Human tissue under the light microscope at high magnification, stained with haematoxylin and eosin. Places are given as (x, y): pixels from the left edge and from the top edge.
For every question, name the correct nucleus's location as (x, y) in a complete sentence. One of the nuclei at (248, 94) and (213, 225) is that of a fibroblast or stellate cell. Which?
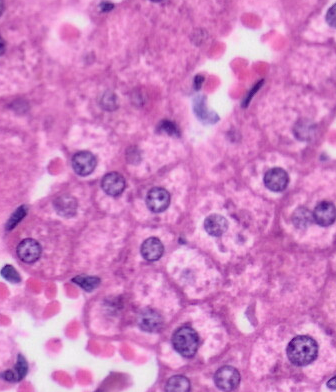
The one at (248, 94) is the nucleus belonging to a fibroblast or stellate cell, not the other one.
